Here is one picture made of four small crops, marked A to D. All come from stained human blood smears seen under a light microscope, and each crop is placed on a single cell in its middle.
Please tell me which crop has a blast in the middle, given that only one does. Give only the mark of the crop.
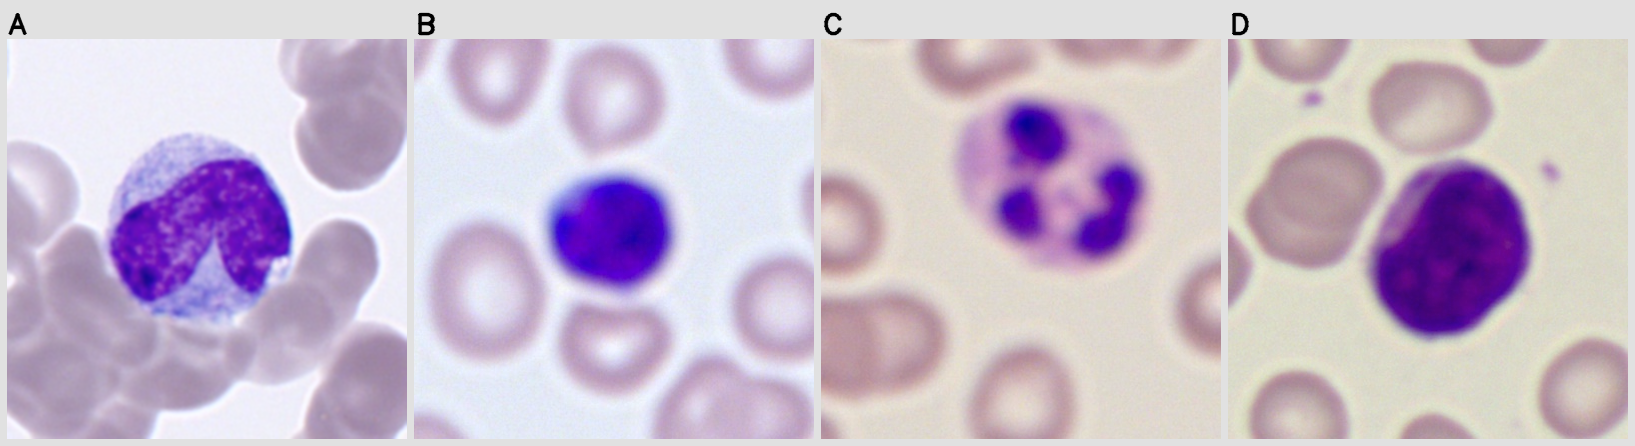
D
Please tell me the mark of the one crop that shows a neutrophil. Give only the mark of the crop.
C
